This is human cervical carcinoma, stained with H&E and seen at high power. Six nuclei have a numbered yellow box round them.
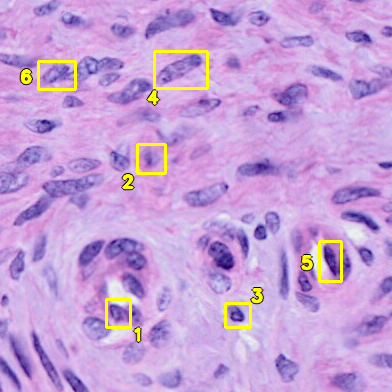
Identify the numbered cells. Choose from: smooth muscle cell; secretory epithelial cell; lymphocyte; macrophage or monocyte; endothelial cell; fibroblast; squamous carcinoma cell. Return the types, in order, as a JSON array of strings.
["endothelial cell", "smooth muscle cell", "fibroblast", "smooth muscle cell", "endothelial cell", "smooth muscle cell"]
